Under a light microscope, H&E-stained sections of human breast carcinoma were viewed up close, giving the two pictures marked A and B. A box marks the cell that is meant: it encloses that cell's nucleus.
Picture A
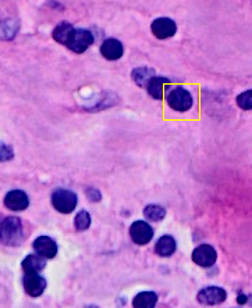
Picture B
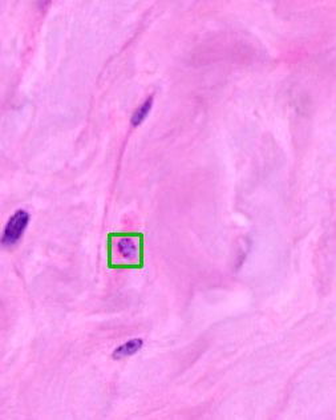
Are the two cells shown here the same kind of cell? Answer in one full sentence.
No. Picture A shows a lymphocyte, but picture B shows a mast cell.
